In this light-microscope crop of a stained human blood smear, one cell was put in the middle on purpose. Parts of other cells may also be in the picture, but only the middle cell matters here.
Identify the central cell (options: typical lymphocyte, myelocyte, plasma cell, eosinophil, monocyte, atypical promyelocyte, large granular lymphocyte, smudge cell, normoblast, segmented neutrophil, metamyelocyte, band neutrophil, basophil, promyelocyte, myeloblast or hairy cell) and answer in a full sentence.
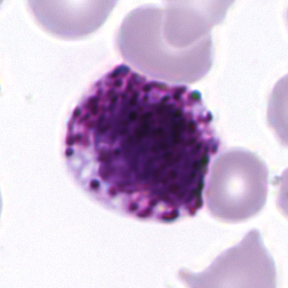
The central cell, amid any neighbouring cells, is a basophil.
